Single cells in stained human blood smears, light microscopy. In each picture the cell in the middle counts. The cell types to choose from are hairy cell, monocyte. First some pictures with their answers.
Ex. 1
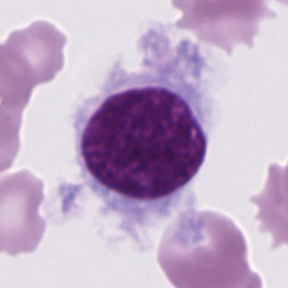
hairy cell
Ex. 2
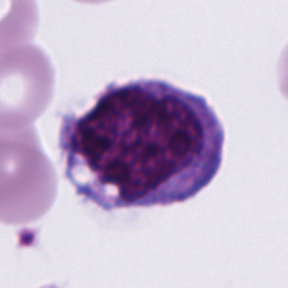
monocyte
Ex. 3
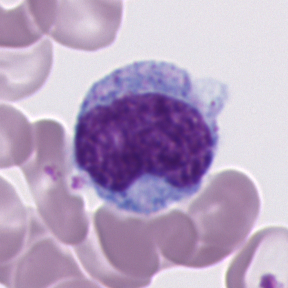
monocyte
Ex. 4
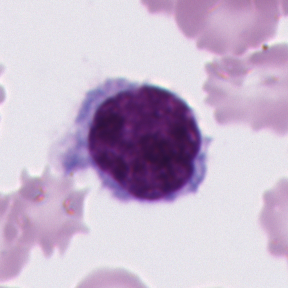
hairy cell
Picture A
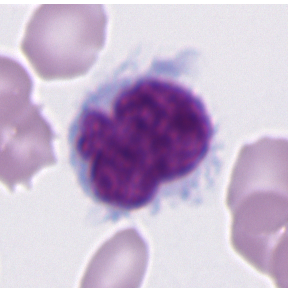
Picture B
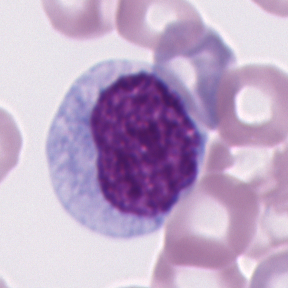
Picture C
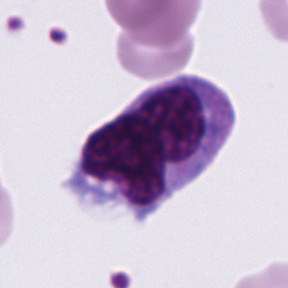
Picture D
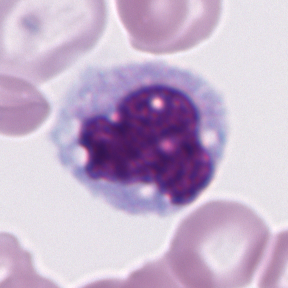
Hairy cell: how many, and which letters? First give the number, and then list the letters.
Count: 1 (A)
